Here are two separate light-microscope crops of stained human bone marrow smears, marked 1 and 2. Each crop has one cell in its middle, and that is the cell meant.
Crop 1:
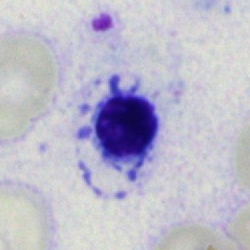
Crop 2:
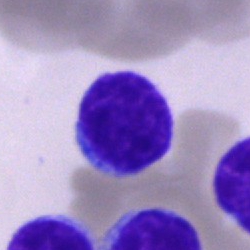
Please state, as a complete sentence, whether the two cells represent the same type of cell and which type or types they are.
No, in crop 1 the cell is an erythroblast, and in crop 2 it is a lymphocyte.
